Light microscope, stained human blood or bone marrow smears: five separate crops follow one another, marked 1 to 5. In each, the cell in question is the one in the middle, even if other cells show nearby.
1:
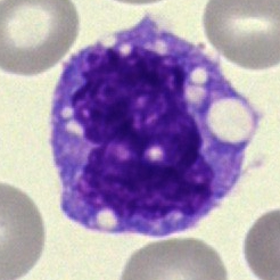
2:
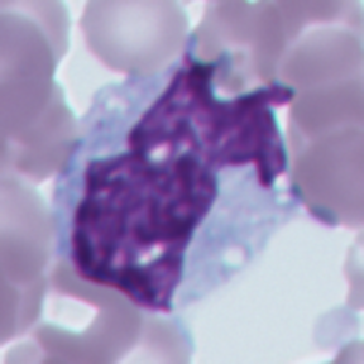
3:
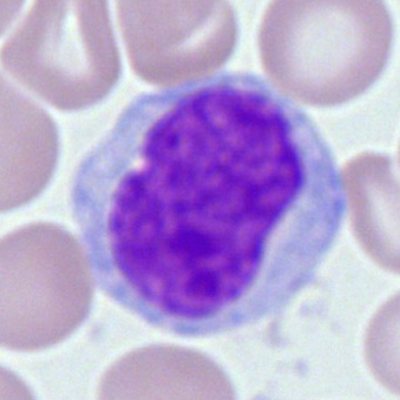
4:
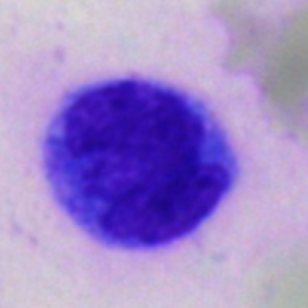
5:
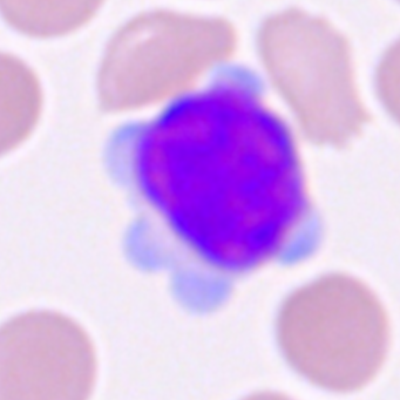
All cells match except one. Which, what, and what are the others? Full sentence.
The cells centred in the other crops are all monocytes, but crop 5 is a lymphocyte.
